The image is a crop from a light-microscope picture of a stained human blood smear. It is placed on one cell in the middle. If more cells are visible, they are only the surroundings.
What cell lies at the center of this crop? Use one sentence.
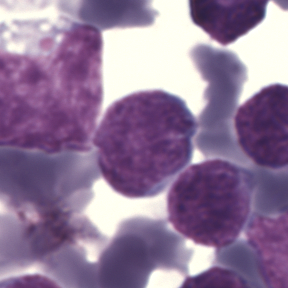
In this crop, the cell at the very middle is a myeloblast.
